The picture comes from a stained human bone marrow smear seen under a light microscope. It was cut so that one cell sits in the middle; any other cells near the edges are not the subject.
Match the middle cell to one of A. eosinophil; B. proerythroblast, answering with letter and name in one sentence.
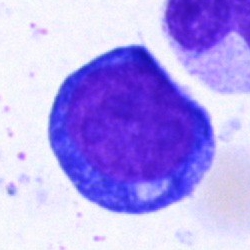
Identification: the cell in the middle is a proerythroblast, matching option B.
